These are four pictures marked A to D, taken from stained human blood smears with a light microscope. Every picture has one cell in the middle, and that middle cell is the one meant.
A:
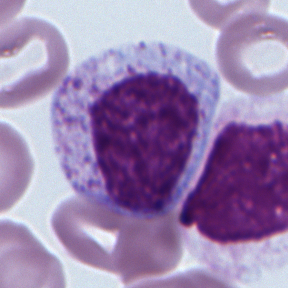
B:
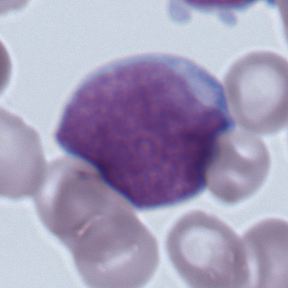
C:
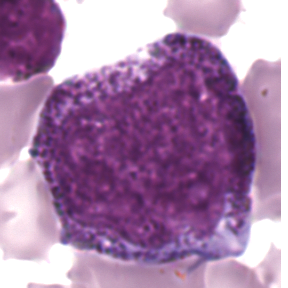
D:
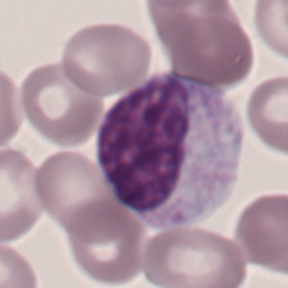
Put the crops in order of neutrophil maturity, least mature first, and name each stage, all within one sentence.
Ordering the crops by maturity, least first, gives crop B (a myeloblast), crop C (a promyelocyte), crop A (a myelocyte) and crop D (a metamyelocyte).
